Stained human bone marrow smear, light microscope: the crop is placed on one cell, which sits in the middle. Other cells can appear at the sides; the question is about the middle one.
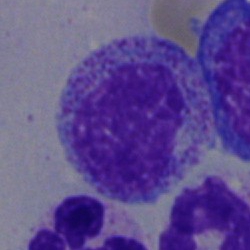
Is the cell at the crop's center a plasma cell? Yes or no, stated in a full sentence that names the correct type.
No, instead of being a plasma cell, the middle cell is a myelocyte.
